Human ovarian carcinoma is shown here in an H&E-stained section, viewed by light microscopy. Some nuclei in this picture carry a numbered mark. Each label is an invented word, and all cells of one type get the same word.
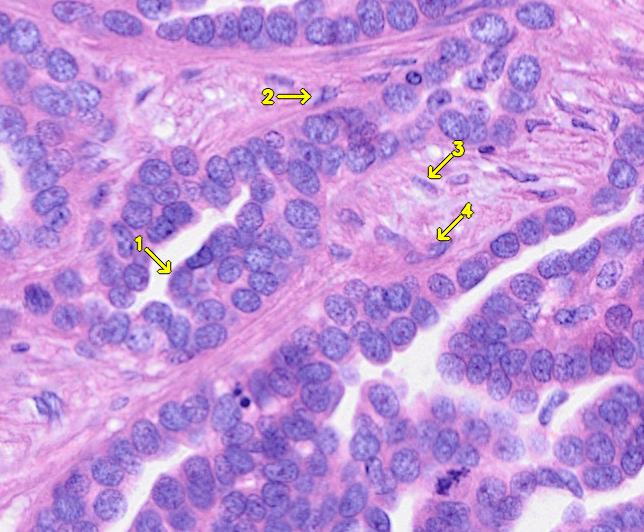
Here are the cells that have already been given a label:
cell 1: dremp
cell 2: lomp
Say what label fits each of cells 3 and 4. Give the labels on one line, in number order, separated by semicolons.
lomp; lomp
